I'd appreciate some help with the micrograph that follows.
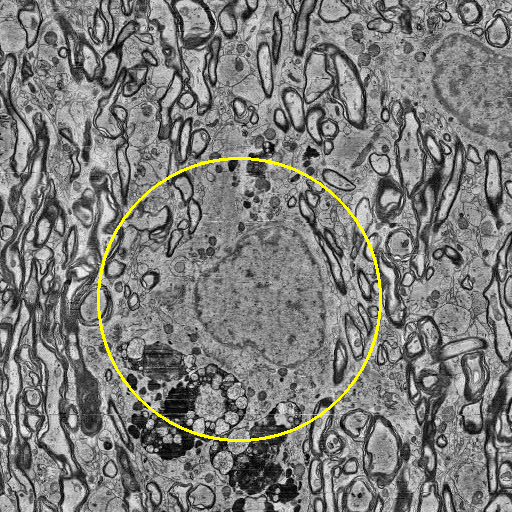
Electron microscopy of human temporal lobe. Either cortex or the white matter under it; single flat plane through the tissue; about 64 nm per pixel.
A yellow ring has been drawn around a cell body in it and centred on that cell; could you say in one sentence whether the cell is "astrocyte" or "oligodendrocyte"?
It is an astrocyte at the centre of the ring.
